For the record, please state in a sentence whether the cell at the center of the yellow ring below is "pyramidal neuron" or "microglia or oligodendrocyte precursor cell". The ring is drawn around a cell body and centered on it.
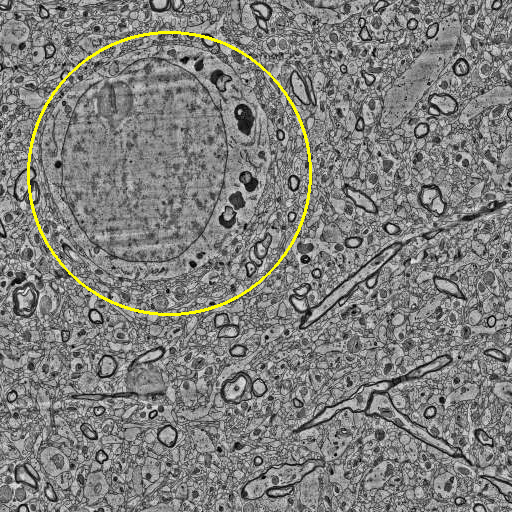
The cell at the ring's center is a pyramidal neuron.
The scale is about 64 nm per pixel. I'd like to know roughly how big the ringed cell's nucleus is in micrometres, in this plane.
Roughly 13 micrometres by 11 micrometres, in this plane.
